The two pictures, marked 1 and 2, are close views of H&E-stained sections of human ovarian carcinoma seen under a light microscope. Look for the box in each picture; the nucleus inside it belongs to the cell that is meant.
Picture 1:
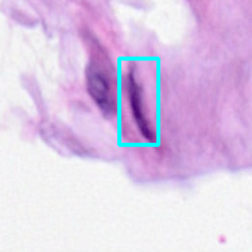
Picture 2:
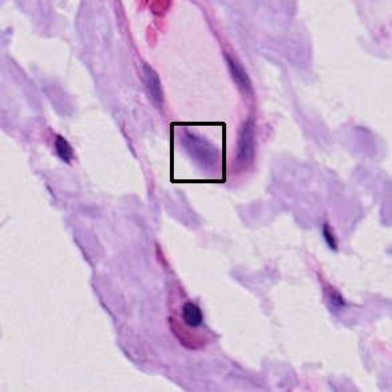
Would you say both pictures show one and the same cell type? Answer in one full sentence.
Yes; the cells in both pictures are endothelial cells.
